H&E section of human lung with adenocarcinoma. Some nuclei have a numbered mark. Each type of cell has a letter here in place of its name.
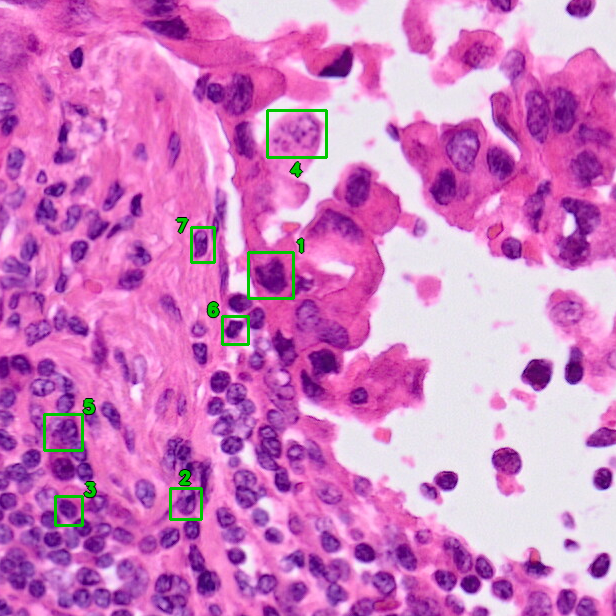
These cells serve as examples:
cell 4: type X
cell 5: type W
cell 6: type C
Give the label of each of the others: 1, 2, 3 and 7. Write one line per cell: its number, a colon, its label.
1: type X
2: type C
3: type C
7: type C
